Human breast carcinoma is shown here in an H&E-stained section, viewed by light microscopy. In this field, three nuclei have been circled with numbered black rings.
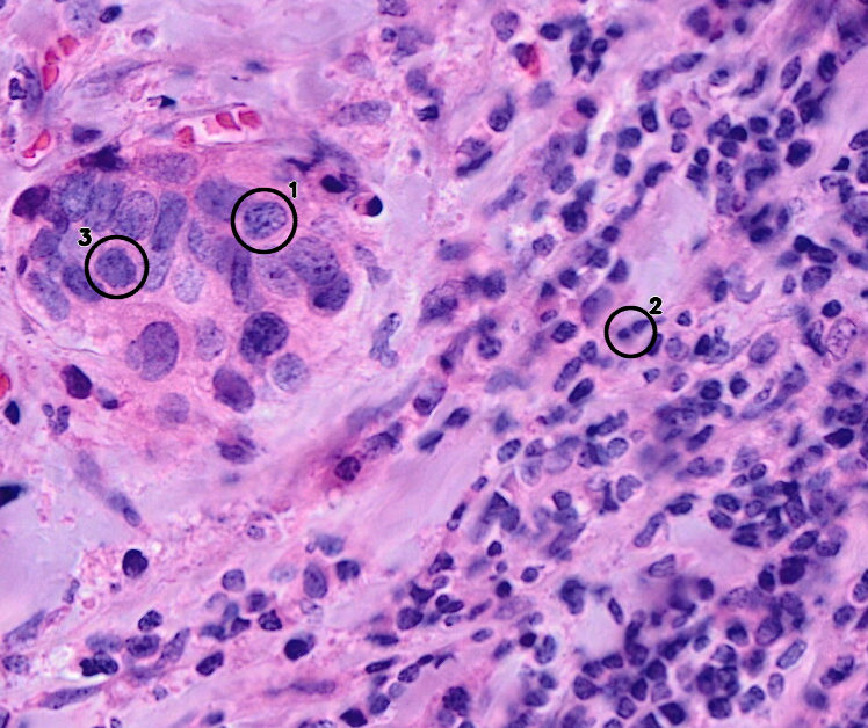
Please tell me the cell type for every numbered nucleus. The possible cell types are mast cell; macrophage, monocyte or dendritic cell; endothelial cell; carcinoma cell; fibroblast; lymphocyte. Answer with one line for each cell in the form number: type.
1: carcinoma cell
2: lymphocyte
3: carcinoma cell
